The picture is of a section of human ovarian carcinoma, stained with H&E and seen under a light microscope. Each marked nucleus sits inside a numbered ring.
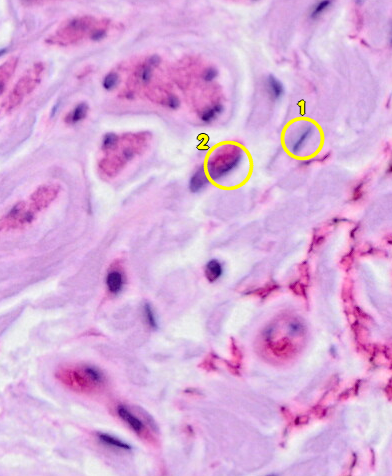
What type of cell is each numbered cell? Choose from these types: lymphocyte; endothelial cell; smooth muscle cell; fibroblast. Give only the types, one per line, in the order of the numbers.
fibroblast
endothelial cell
